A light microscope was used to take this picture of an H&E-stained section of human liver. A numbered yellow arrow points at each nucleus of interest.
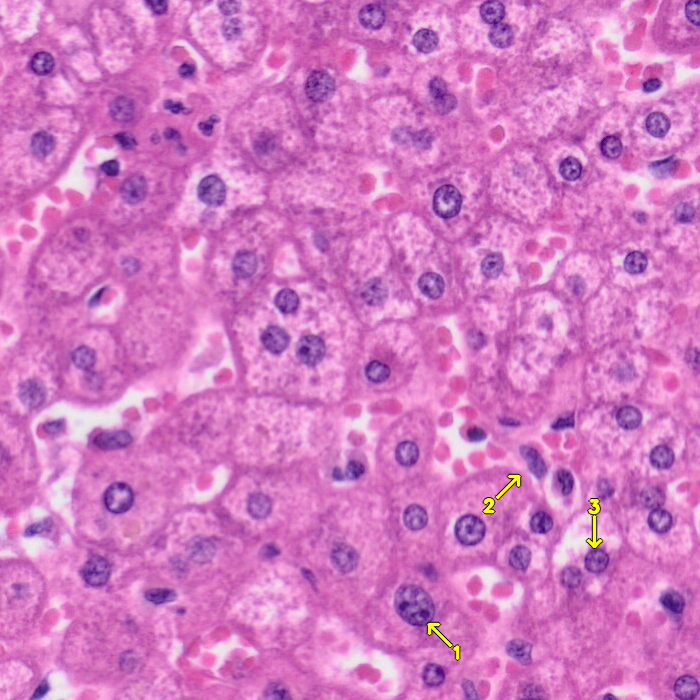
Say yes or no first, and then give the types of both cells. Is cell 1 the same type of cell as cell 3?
Yes, both are hepatocytes.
